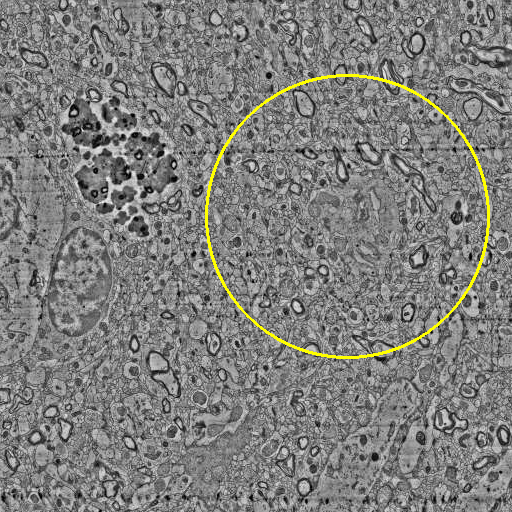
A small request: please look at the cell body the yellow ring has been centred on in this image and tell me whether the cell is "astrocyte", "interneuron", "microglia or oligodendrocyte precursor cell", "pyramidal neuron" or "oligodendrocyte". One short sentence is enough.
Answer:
The cell marked by the ring is an astrocyte.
